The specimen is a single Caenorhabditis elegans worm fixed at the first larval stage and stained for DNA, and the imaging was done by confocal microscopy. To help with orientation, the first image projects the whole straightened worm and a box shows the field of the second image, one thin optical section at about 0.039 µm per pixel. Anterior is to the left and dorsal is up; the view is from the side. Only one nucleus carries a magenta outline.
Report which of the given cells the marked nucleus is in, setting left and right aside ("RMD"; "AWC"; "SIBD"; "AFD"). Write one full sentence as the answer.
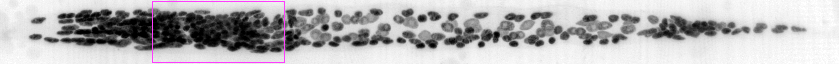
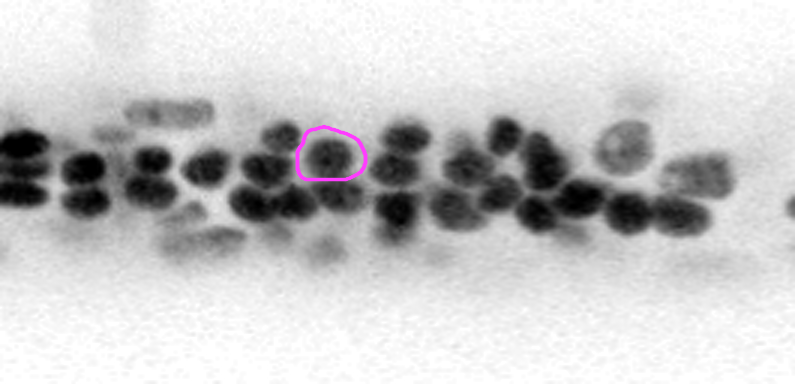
The marked cell is AFD, a neuron.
